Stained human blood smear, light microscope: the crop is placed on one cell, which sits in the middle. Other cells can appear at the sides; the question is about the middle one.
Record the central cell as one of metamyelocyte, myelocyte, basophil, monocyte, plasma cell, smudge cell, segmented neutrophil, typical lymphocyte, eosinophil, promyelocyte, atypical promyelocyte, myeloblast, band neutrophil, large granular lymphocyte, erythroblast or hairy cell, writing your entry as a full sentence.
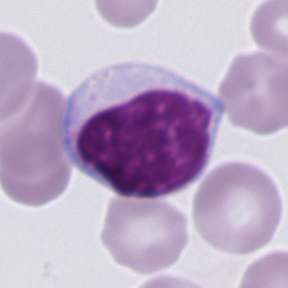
The crop shows a large granular lymphocyte in its centre.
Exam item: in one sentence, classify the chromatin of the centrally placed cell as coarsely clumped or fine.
Take a look at the chromatin, which is coarsely clumped.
